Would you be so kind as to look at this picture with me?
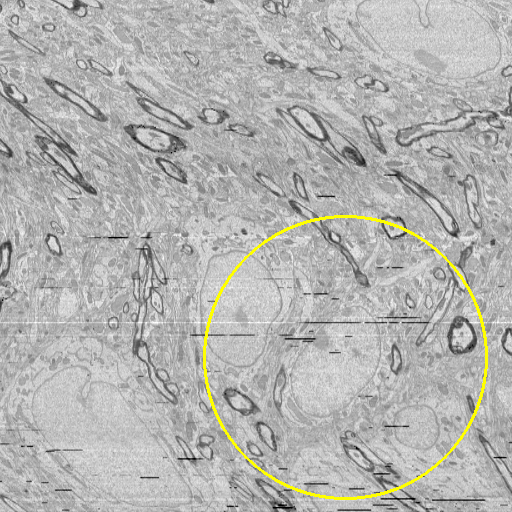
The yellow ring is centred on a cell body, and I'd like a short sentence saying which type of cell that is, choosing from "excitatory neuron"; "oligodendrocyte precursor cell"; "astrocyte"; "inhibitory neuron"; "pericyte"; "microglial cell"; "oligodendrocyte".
The cell body in the ring belongs to an astrocyte.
